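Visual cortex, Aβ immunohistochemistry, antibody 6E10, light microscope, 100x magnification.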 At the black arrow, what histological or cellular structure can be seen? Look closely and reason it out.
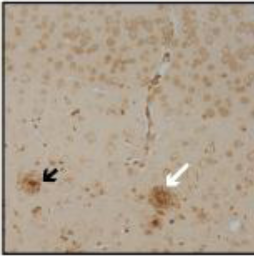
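The arrow points to a compact dark brown deposit. A paler brown rim surrounds the dark centre.
Hence: dense core plaques with halo.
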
